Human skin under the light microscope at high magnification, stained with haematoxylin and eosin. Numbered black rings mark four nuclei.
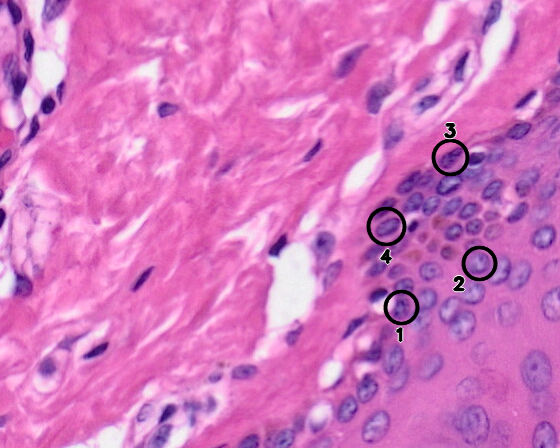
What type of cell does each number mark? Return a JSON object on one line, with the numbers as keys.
{"1": "basal keratinocyte", "2": "suprabasal keratinocyte", "3": "basal keratinocyte", "4": "basal keratinocyte"}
